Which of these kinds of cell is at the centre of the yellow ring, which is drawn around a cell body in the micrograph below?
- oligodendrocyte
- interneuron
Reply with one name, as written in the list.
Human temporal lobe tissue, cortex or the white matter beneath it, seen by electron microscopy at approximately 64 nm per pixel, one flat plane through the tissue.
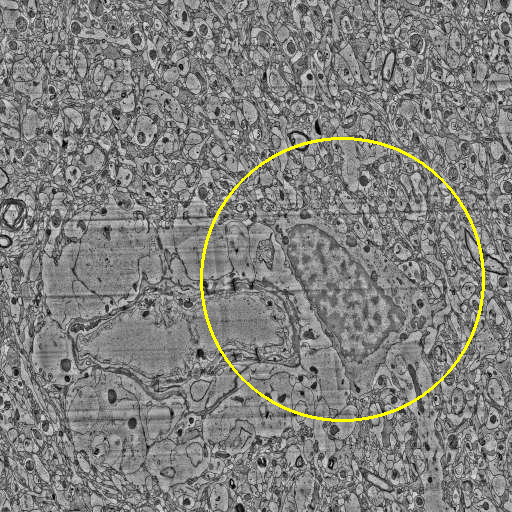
oligodendrocyte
